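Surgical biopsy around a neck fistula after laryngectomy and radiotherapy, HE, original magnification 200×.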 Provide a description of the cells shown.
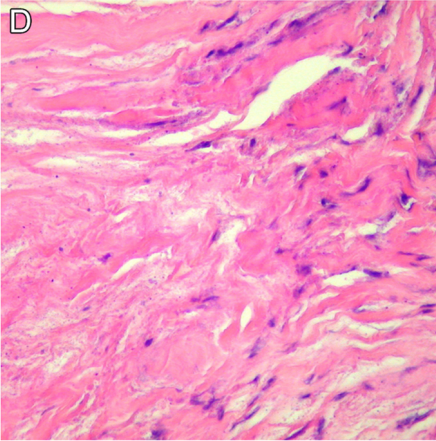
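This is dense fibrous connective tissue showing fibrosis, with only rare fibroblasts. The field is filled by thick, pink-staining collagen fibres that run in wavy, roughly parallel bands, separated in places by thin clefts and small empty spaces. Scattered between the fibres are few cells: their nuclei are dark purple, elongated and spindle-shaped, lying along the direction of the fibres, with scant cytoplasm that is hard to separate from the surrounding pink matrix. The tissue is poor in cells overall, with no glands, epithelium or dense clusters of inflammatory cells in view, matching scar-like fibrous tissue.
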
